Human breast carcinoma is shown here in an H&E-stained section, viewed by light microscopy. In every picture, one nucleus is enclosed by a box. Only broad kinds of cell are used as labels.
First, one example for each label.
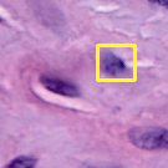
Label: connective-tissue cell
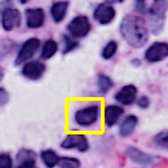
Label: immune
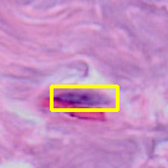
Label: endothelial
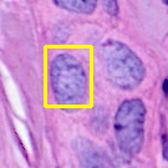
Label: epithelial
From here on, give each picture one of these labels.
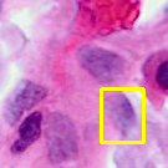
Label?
connective-tissue cell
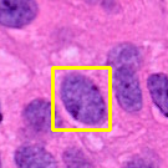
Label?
epithelial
